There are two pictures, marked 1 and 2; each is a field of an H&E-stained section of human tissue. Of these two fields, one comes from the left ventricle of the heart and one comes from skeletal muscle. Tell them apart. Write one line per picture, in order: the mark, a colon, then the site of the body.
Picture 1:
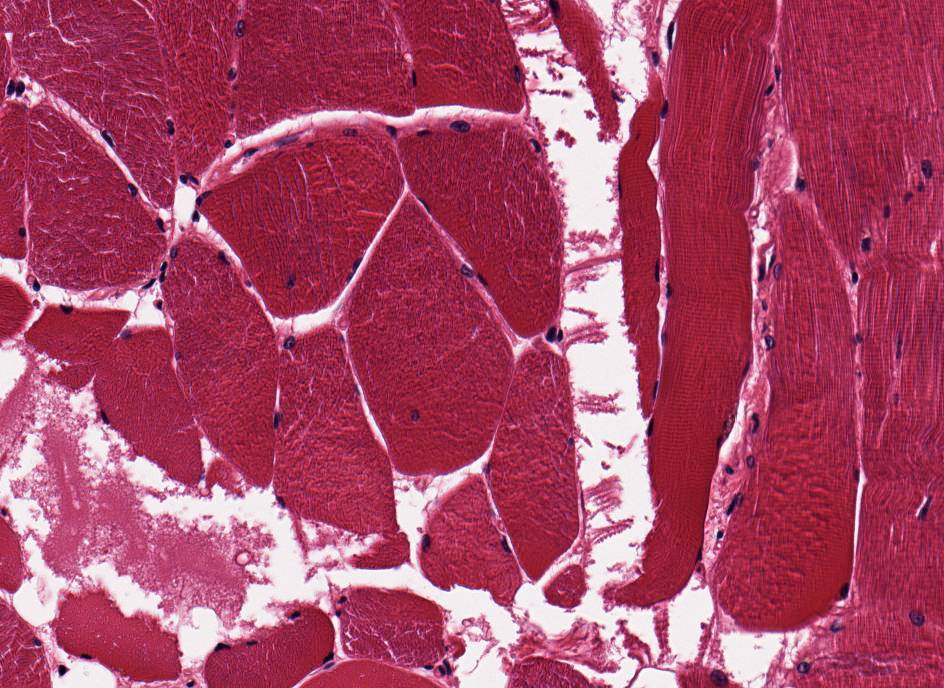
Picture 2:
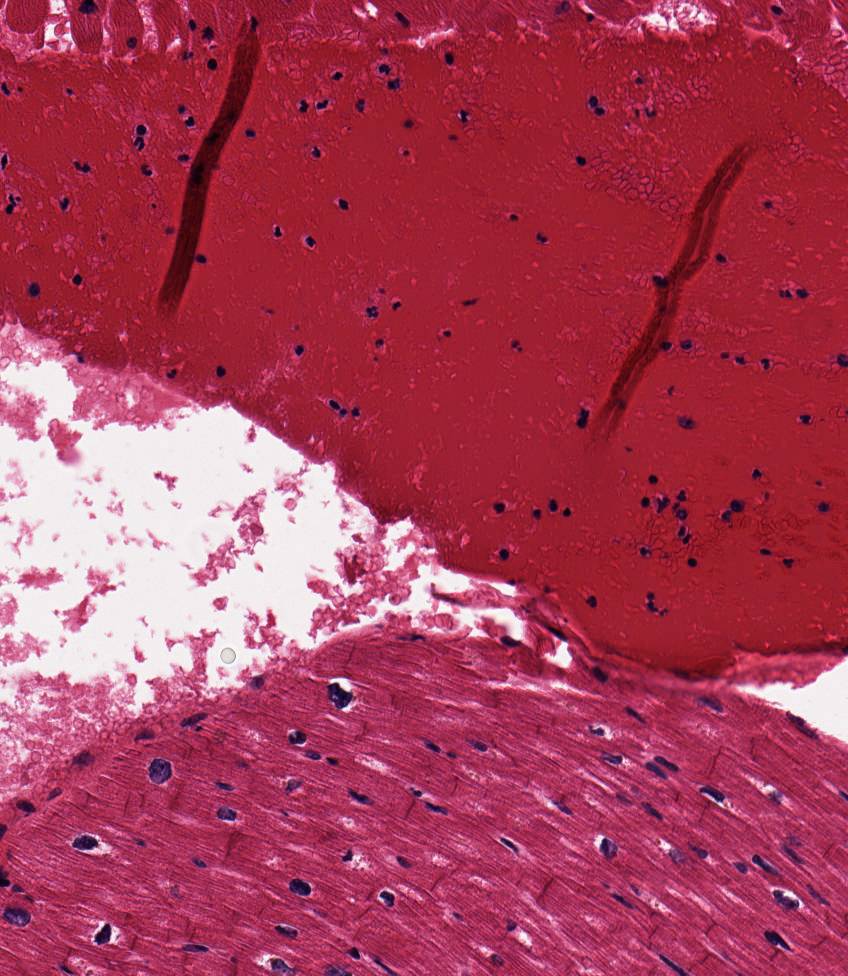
1: skeletal muscle
2: left ventricle of the heart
